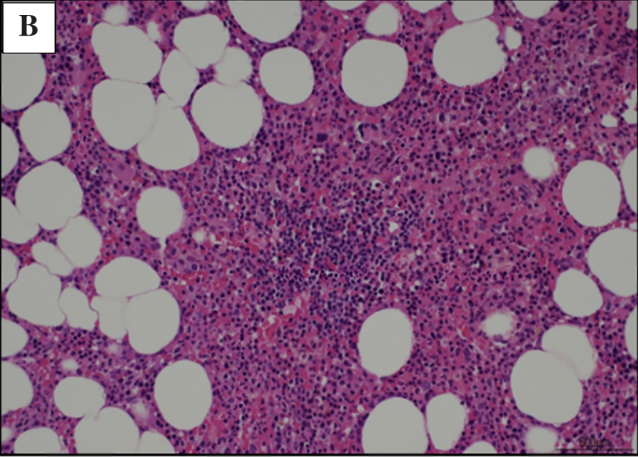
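This is bone marrow with round empty fat spaces set among dense sheets of blood-forming cells. The cells are a mix of small cells with dark round nuclei and larger cells with pink cytoplasm, packed closely between the fat spaces.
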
